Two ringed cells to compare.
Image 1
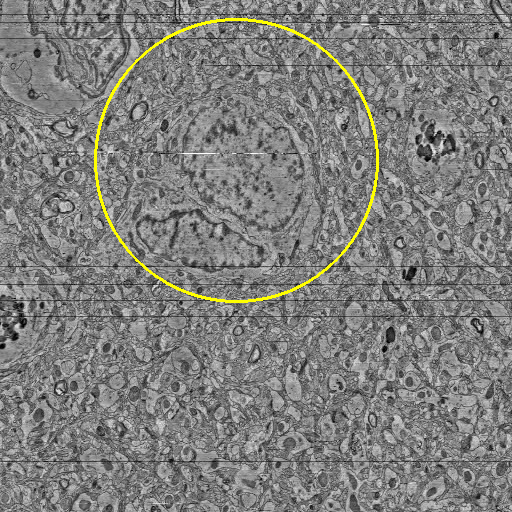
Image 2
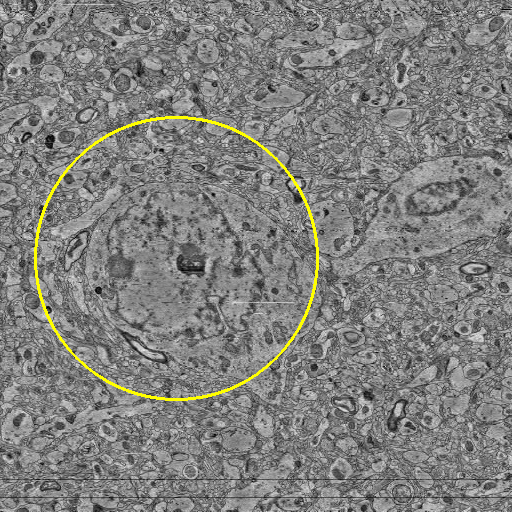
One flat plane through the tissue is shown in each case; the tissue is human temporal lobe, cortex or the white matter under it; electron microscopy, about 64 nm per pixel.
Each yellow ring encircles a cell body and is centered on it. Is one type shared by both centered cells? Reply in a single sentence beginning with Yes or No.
Yes, a single type is shared by the two cells at the centers of the rings.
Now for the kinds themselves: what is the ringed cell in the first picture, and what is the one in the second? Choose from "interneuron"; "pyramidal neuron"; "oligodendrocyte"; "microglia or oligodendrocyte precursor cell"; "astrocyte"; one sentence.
Both cells are the same kind, each one being an interneuron.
